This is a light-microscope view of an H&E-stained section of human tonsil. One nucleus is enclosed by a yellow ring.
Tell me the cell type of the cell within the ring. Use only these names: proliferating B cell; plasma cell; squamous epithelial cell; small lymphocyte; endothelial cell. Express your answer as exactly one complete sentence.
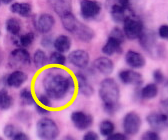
It is as a proliferating B cell that the cell within the ring is recorded.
